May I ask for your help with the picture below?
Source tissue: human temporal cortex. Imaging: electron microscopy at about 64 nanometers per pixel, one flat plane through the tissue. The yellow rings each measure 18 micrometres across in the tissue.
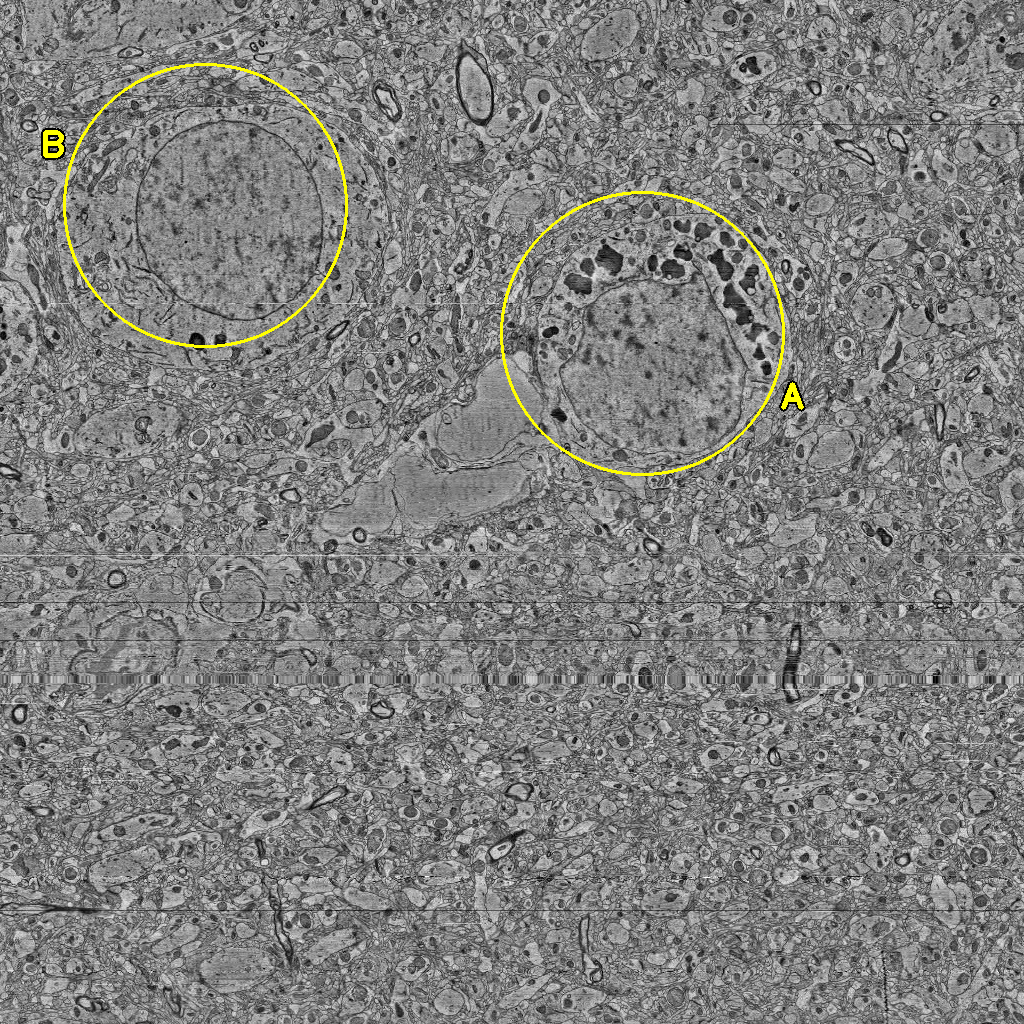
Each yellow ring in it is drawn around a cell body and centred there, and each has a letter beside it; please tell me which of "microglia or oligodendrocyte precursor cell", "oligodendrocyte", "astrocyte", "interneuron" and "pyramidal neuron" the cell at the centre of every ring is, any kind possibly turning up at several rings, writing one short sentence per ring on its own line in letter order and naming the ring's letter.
Ring A is drawn around the cell body of an interneuron.
Ring B is drawn around the cell body of a pyramidal neuron.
